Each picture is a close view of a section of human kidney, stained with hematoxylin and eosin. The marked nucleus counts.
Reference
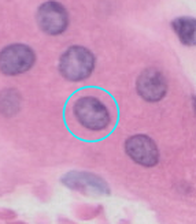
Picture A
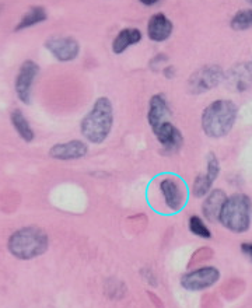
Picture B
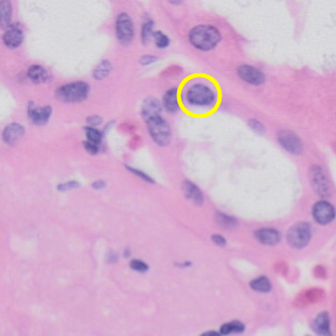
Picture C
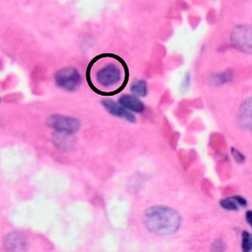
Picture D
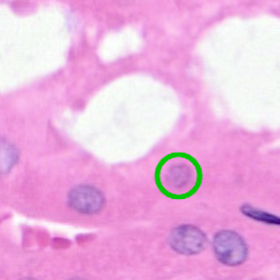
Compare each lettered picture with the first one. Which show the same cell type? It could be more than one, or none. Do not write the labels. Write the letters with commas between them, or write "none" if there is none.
C, D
